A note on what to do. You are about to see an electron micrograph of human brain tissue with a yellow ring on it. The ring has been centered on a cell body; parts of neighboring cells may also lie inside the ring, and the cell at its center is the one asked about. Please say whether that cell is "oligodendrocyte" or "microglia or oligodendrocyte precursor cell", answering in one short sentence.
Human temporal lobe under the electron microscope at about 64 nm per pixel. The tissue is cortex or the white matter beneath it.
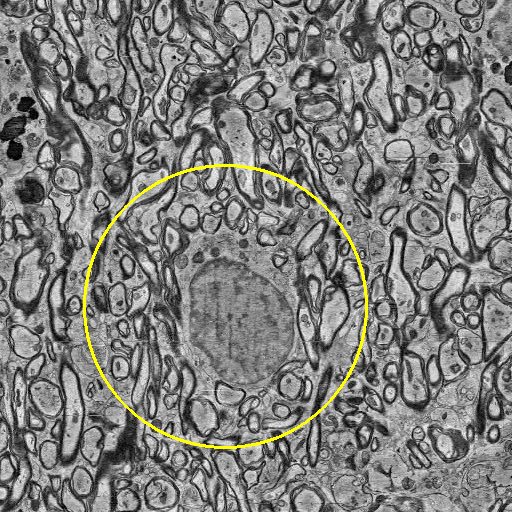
The yellow ring sits on an oligodendrocyte.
